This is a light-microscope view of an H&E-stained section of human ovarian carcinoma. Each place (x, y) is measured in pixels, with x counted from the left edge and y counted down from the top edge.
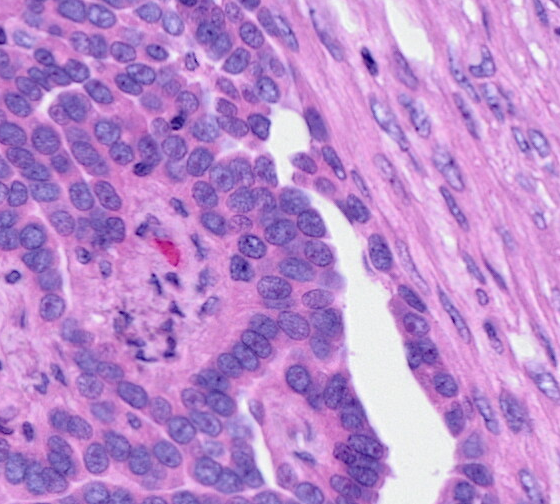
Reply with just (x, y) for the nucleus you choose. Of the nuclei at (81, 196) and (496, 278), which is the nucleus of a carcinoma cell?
(81, 196)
